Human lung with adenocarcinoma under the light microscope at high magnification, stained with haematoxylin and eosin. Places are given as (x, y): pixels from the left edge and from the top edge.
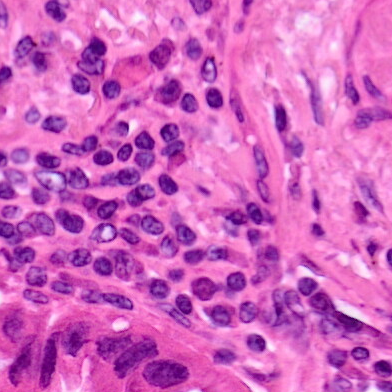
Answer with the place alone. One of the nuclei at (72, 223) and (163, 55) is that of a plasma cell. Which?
(163, 55)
